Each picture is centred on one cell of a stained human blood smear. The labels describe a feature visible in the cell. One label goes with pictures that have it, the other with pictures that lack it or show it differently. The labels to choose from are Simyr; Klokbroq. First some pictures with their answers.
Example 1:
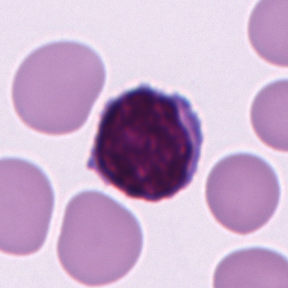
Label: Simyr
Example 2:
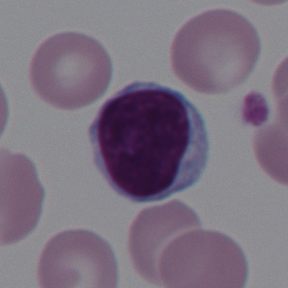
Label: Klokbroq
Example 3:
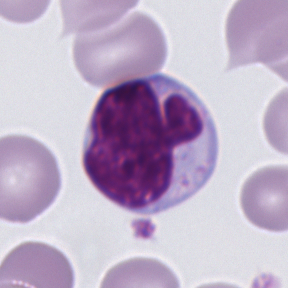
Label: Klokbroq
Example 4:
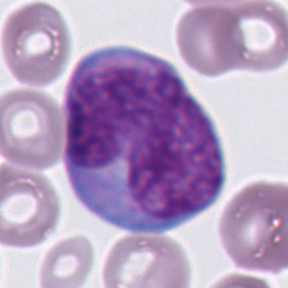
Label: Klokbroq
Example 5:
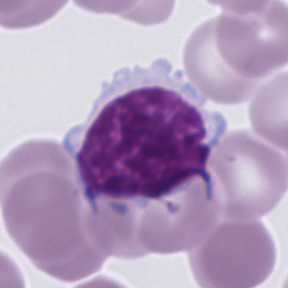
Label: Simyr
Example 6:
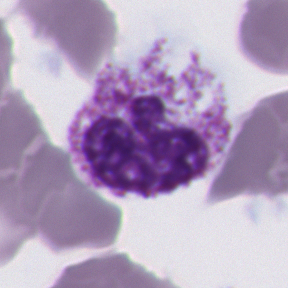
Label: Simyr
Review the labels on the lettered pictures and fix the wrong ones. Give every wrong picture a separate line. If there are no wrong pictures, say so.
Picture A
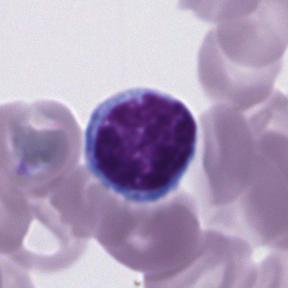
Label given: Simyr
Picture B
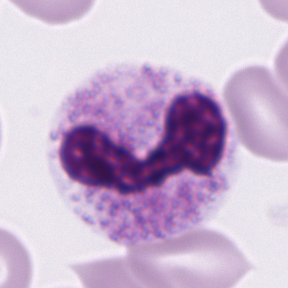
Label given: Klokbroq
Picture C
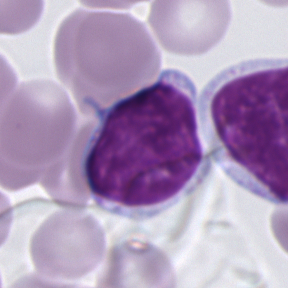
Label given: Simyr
A: change Simyr to Klokbroq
